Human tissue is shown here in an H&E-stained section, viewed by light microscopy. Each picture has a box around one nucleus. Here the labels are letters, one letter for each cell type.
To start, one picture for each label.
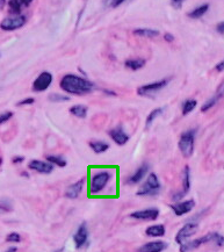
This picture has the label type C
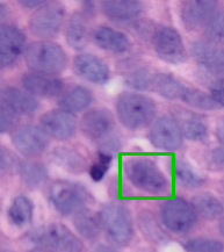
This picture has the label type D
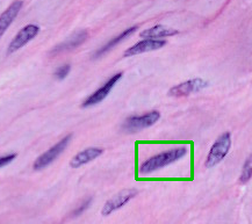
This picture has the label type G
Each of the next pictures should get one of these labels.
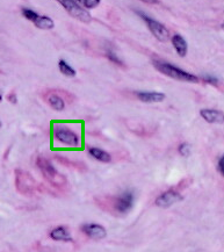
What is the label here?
type C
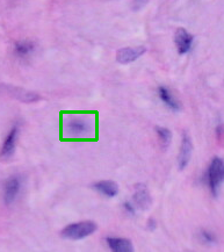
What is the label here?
type G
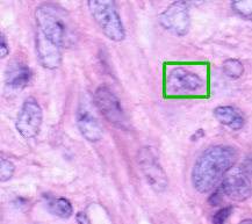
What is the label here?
type G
